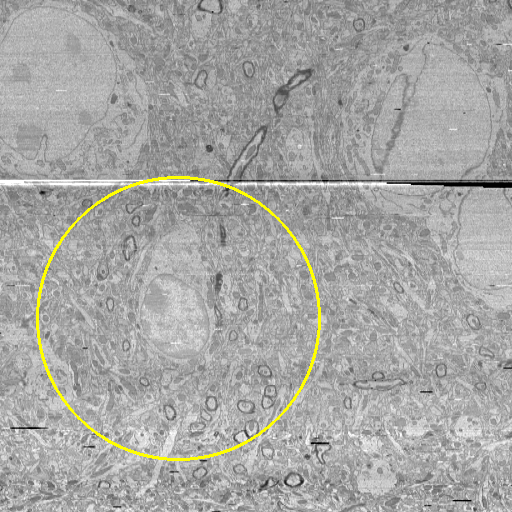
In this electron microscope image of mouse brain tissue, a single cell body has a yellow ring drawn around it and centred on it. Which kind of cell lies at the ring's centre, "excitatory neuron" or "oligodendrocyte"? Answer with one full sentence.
It is an oligodendrocyte whose cell body lies at the centre of the yellow ring here.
